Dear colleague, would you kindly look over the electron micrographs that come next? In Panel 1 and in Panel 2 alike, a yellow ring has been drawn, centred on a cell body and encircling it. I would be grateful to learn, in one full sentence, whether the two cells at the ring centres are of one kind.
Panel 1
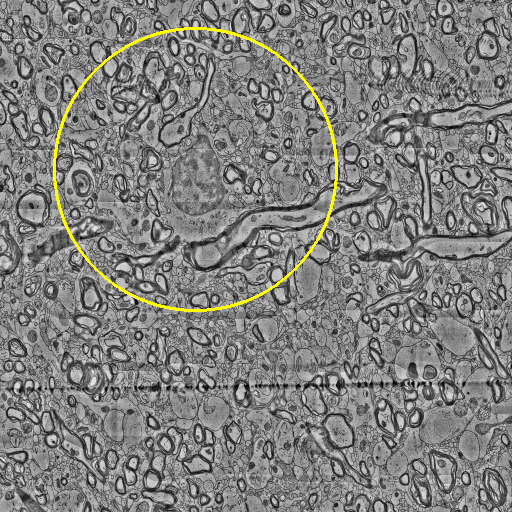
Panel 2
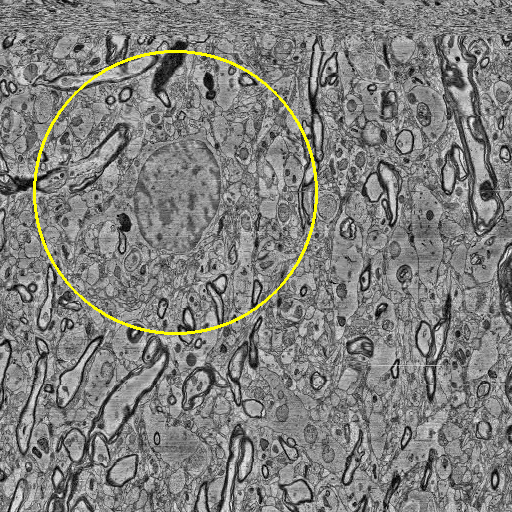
Yes, the cells in the middle of the rings in the two panels are of one kind.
